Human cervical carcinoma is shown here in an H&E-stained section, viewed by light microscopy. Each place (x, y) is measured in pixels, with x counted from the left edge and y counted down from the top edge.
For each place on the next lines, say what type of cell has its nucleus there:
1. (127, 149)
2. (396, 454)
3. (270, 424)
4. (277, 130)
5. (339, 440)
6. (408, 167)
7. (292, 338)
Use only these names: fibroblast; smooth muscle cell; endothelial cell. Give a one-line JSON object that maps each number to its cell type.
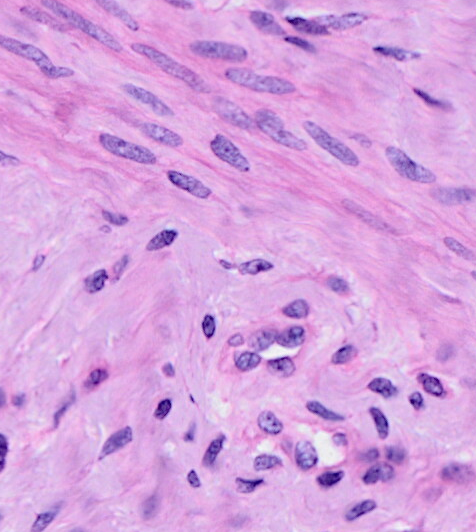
{"1": "smooth muscle cell", "2": "endothelial cell", "3": "endothelial cell", "4": "smooth muscle cell", "5": "endothelial cell", "6": "fibroblast", "7": "endothelial cell"}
